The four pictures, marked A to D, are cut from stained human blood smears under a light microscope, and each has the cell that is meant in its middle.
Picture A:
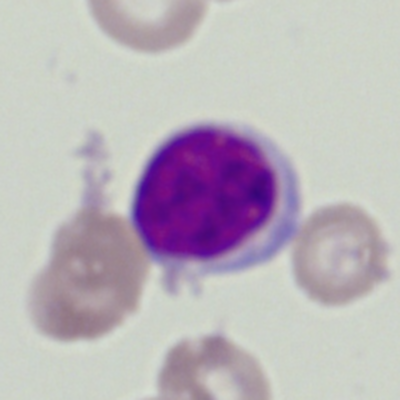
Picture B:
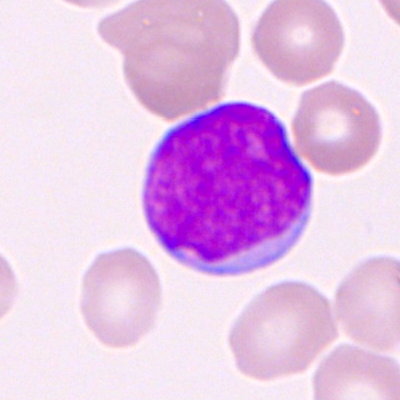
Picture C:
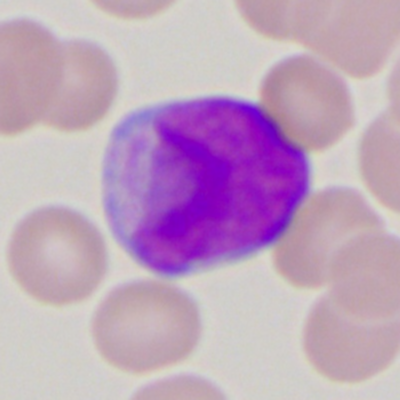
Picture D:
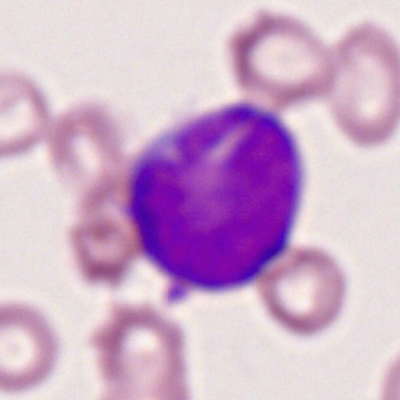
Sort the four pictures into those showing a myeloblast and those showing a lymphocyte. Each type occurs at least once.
A: lymphocyte
B: myeloblast
C: myeloblast
D: myeloblast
